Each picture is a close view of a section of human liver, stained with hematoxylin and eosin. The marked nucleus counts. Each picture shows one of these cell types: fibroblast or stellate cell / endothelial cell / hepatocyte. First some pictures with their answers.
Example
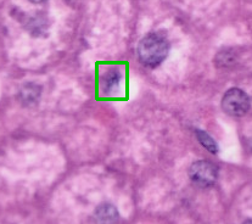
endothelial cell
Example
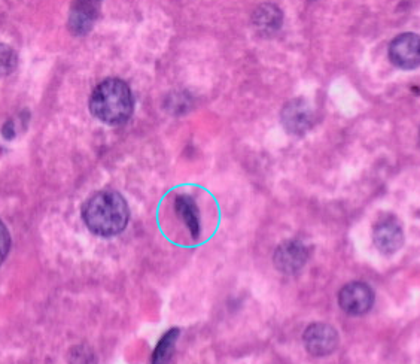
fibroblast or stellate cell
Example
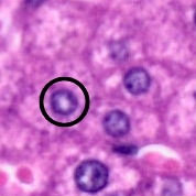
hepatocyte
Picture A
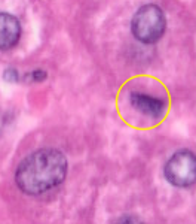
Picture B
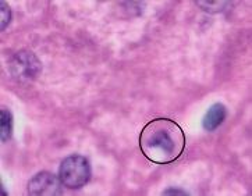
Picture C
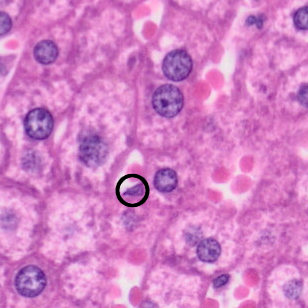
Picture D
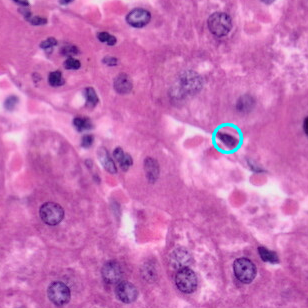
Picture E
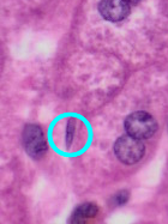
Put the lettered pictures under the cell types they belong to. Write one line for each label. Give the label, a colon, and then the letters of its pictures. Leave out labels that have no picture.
fibroblast or stellate cell: A, D
endothelial cell: B, C, E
